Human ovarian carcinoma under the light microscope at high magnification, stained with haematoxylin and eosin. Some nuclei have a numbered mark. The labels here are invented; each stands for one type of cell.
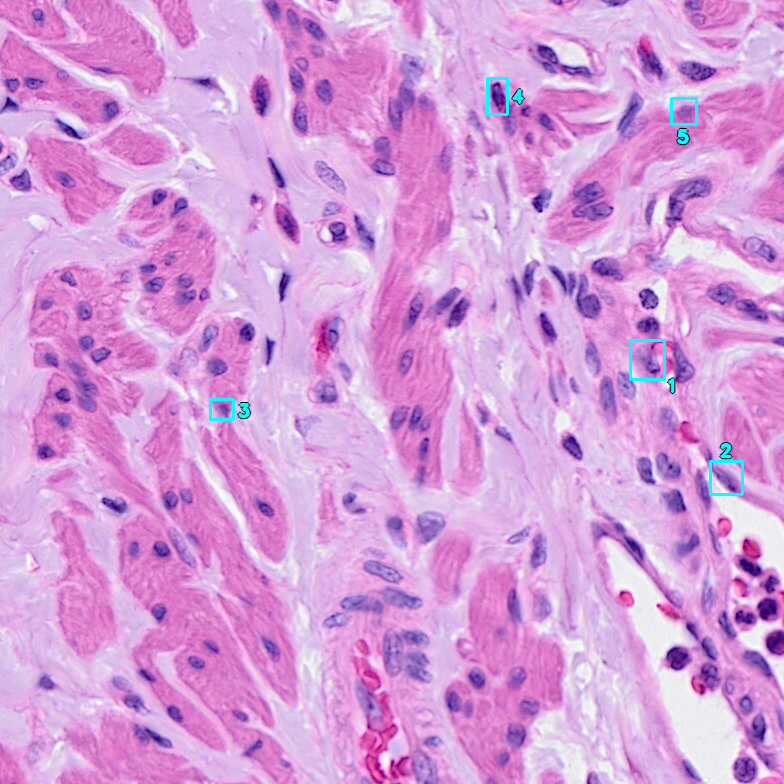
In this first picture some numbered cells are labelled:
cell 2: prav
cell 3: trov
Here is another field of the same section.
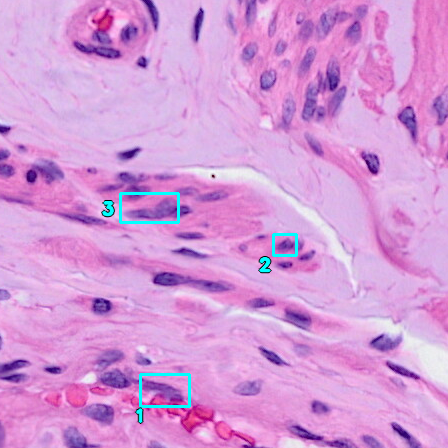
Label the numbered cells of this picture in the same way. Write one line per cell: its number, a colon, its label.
1: prav
2: trov
3: trov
